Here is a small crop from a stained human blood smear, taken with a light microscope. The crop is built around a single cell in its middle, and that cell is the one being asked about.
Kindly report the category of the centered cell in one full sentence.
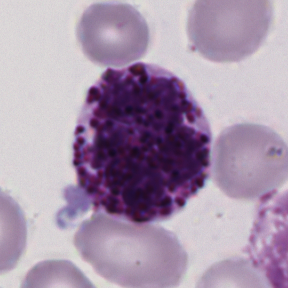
Framed in the middle of the crop is a basophil.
